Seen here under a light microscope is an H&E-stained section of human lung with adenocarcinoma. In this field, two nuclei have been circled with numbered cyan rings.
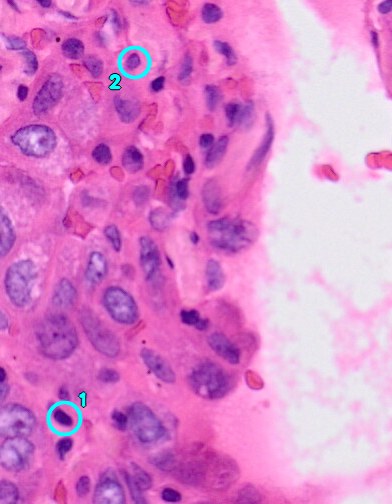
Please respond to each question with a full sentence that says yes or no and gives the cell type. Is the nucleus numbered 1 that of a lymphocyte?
Yes, the cell with the mark numbered 1 is a lymphocyte.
